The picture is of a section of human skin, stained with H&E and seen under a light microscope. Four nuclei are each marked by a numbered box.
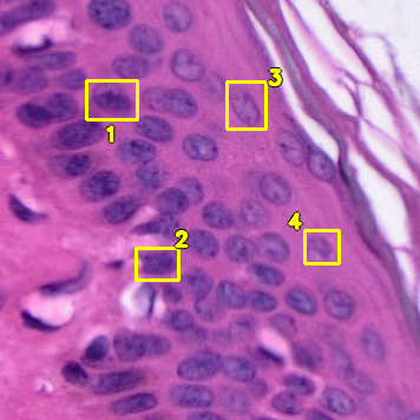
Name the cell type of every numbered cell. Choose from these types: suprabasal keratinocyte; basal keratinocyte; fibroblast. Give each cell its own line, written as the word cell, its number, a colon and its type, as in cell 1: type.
cell 1: basal keratinocyte
cell 2: basal keratinocyte
cell 3: suprabasal keratinocyte
cell 4: suprabasal keratinocyte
